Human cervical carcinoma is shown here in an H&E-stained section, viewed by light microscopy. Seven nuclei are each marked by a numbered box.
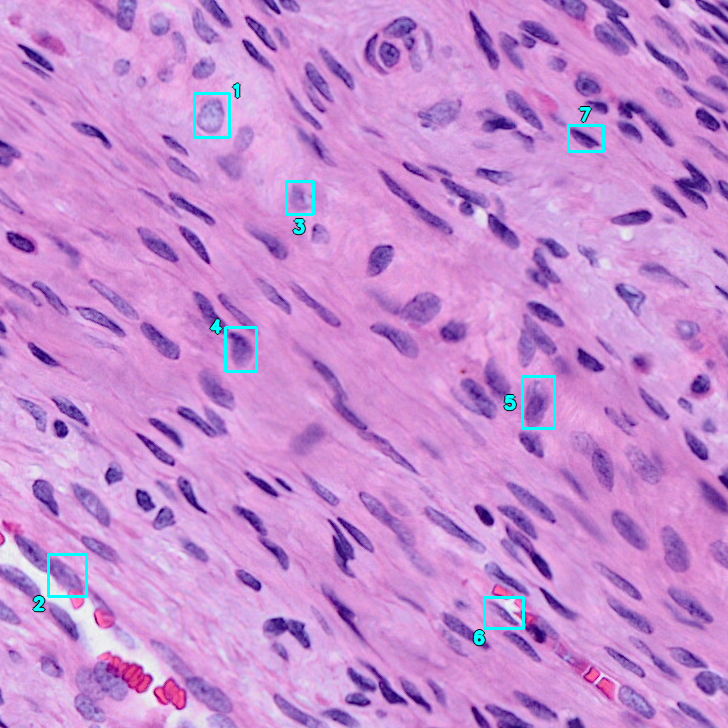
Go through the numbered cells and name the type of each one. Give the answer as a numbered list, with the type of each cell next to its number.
1. smooth muscle cell
2. endothelial cell
3. fibroblast
4. fibroblast
5. fibroblast
6. endothelial cell
7. fibroblast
